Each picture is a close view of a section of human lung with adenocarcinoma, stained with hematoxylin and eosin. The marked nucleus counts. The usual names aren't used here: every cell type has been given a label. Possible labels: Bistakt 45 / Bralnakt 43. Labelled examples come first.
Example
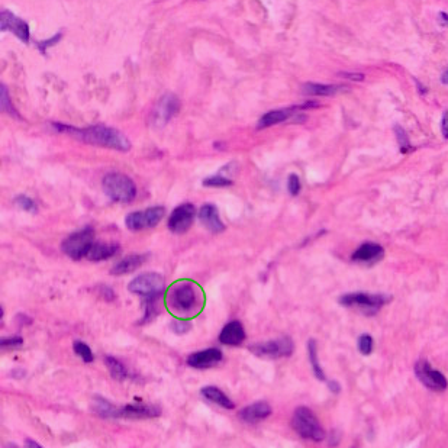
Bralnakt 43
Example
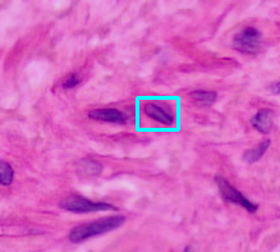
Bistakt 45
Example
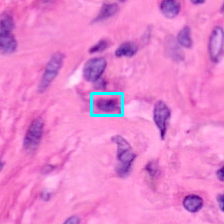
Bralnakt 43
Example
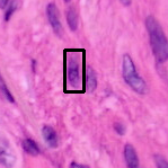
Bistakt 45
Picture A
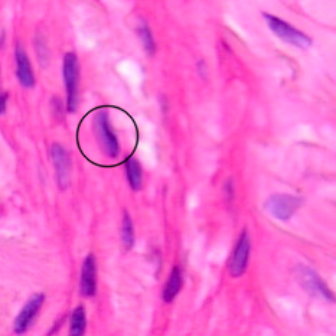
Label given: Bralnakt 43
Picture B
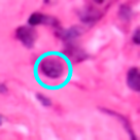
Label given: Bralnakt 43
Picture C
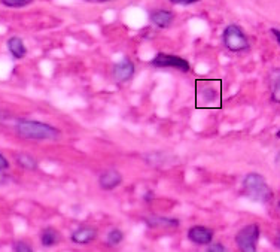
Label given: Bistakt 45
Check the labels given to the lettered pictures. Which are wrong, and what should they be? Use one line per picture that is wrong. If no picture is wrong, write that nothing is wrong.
A is labelled Bralnakt 43; correct label: Bistakt 45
